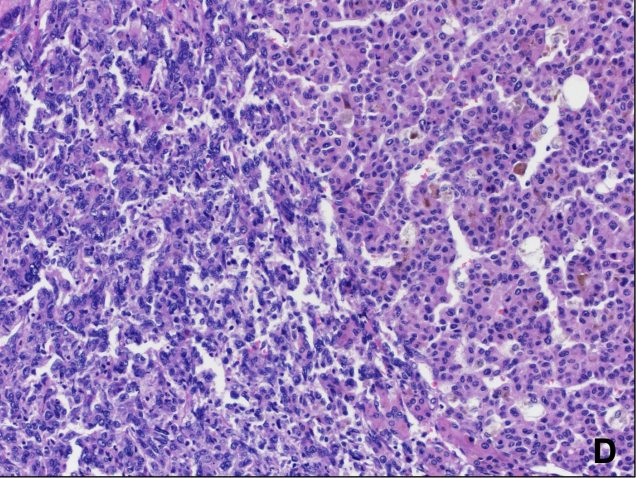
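Densely cellular liver carcinoma of closely packed tumor cells with dark purple nuclei of varying size and scant to moderate pink cytoplasm. Cells line slit-like vascular spaces and small round clear gland-like lumina, with scattered brown pigment in some cells.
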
